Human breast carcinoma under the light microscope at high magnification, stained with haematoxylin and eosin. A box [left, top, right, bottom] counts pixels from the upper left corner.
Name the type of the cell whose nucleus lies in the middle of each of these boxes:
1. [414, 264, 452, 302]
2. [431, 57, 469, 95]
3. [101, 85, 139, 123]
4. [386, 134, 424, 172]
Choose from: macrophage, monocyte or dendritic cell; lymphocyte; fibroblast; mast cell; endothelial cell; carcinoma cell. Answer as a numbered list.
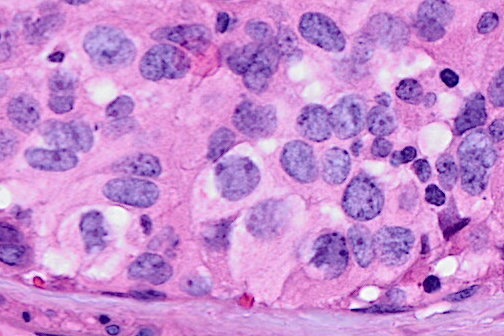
1. lymphocyte
2. lymphocyte
3. carcinoma cell
4. lymphocyte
